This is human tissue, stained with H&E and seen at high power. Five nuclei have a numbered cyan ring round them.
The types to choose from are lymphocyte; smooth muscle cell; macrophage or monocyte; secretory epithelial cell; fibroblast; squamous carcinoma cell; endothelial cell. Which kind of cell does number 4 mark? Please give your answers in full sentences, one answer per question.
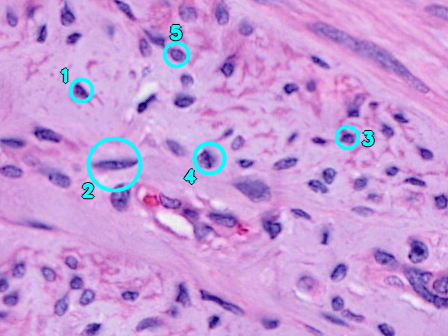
In the tissue shown, cell 4 is a fibroblast.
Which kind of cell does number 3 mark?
Cell 3 in the field is a smooth muscle cell.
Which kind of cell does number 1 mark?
Regarding cell 1, this one is a smooth muscle cell.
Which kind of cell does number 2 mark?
The cell indicated with the number 2 is classed as a fibroblast.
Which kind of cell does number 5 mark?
The cell identified by the number 5 is a smooth muscle cell.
